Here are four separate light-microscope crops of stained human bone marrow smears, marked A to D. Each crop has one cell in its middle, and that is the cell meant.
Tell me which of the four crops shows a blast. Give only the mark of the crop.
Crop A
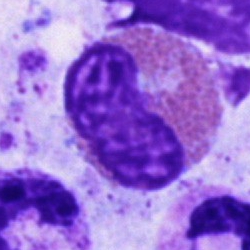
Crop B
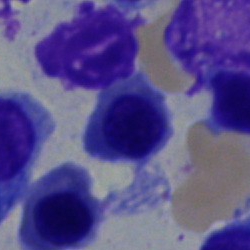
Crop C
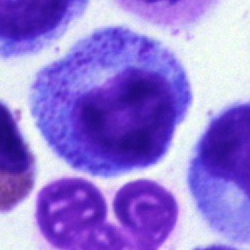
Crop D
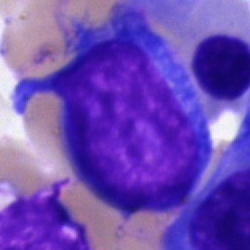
D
